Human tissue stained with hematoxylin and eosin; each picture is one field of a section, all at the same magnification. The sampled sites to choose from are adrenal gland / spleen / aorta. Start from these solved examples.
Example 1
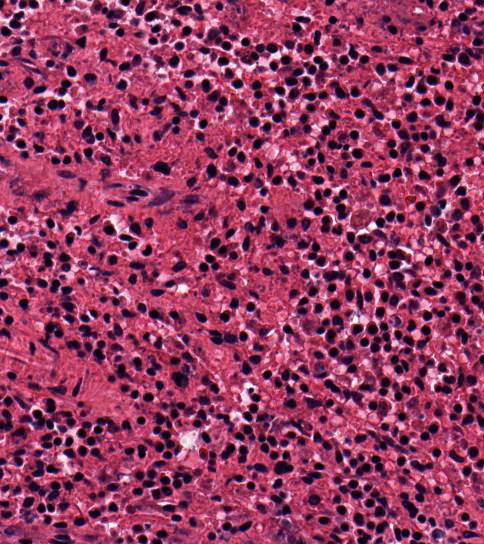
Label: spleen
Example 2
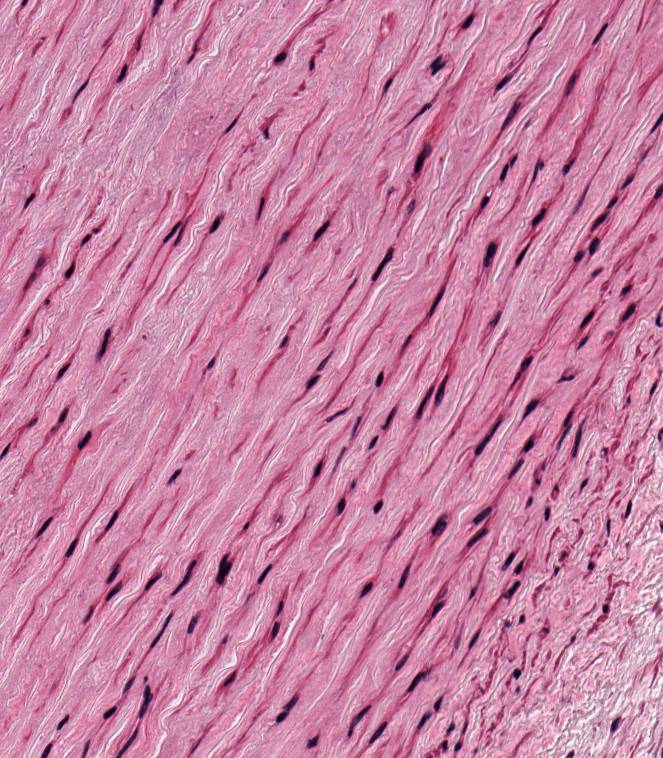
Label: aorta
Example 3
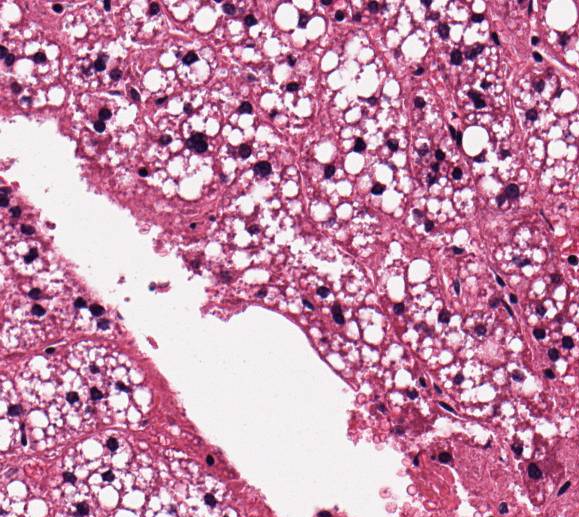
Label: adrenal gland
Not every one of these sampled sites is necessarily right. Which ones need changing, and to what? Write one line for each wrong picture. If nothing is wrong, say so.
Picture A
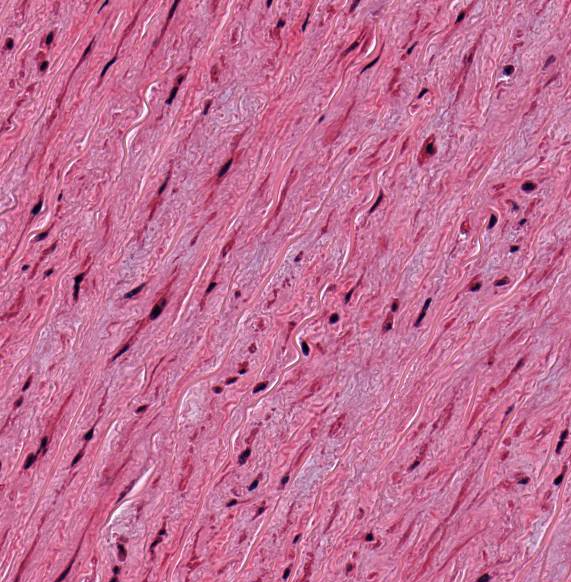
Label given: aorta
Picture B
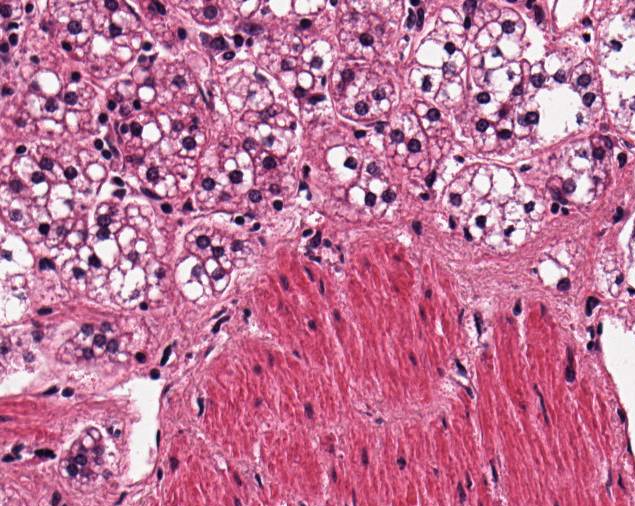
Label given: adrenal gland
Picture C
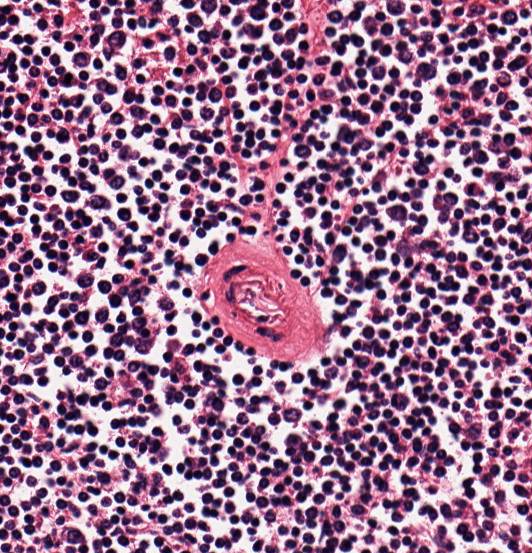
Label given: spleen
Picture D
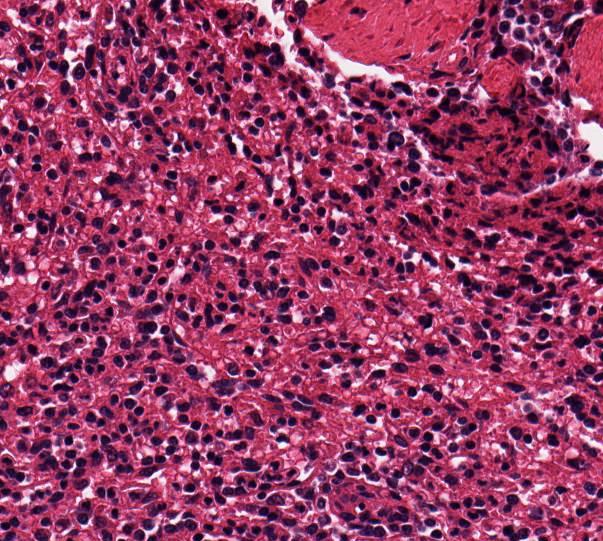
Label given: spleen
No label is wrong.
